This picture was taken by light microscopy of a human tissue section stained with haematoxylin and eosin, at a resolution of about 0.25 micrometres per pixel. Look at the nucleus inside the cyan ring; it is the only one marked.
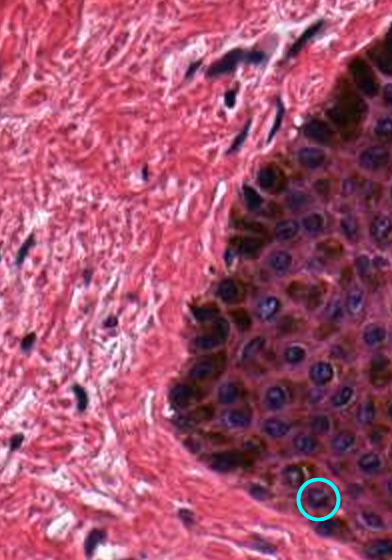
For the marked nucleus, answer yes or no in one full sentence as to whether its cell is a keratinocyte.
Yes, the nucleus that has been marked is that of a keratinocyte.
